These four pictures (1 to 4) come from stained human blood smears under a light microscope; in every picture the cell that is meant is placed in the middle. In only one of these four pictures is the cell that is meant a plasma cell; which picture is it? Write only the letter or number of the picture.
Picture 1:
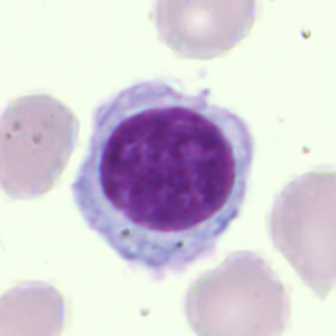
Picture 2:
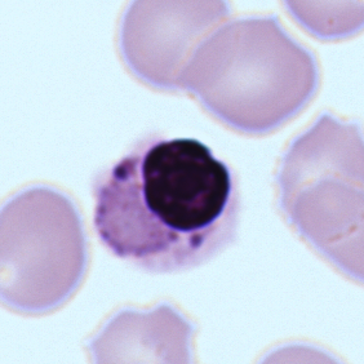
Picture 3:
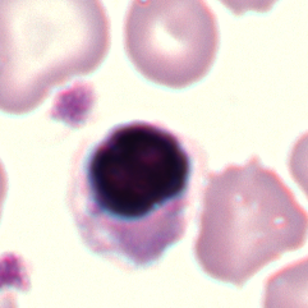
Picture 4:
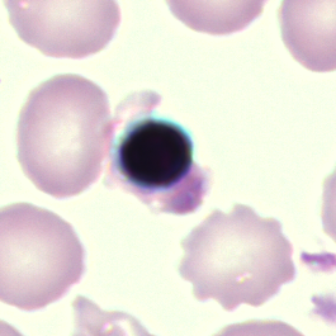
1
